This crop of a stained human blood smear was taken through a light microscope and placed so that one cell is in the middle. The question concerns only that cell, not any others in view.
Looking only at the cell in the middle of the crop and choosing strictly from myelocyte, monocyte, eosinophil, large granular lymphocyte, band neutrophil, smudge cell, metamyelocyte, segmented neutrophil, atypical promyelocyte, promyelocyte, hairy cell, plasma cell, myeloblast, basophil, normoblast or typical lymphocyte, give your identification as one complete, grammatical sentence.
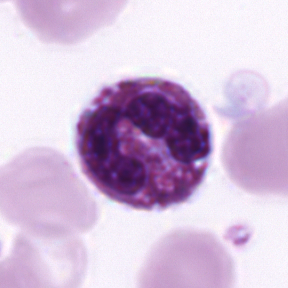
The cell featured at the centre of this crop is an eosinophil.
